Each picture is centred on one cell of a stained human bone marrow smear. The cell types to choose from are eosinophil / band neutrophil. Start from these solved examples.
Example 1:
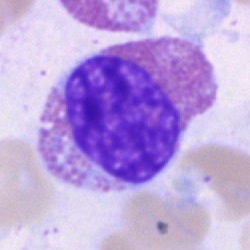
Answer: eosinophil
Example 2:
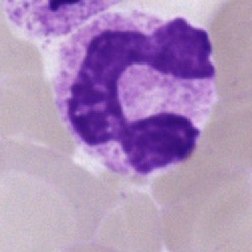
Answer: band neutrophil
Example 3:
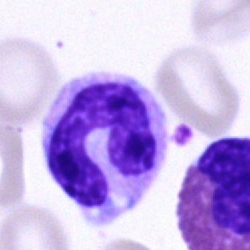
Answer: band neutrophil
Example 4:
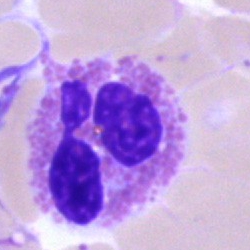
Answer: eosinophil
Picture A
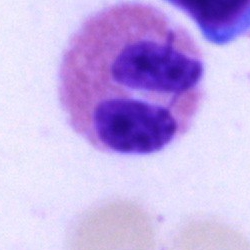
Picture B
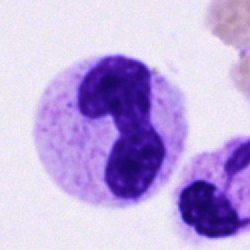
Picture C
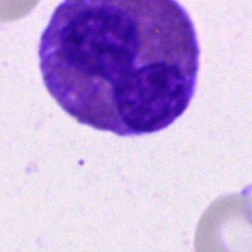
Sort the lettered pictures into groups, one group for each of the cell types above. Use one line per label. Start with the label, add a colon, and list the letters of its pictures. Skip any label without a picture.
eosinophil: A, C
band neutrophil: B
